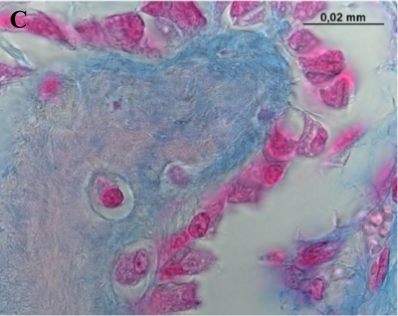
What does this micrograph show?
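Newly formed woven bone lined by a row of closely packed osteoblasts with large pink nuclei, sitting on a pale blue fibrous layer of osteoid. Within the matrix, single cells lie in small lacunae, freshly embedded osteocytes.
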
